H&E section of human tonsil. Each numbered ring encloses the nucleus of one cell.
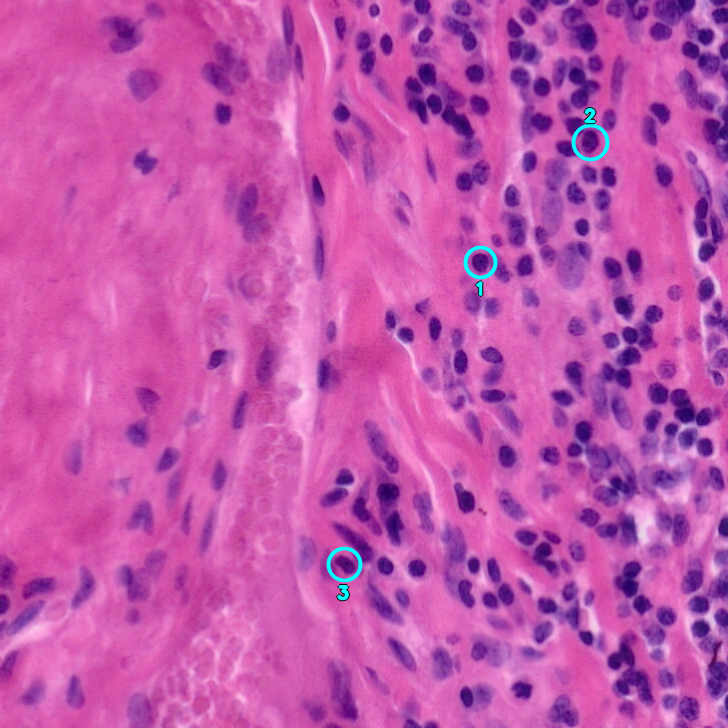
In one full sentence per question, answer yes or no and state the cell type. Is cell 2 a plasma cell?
Yes, in the section, number 2 is a plasma cell.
